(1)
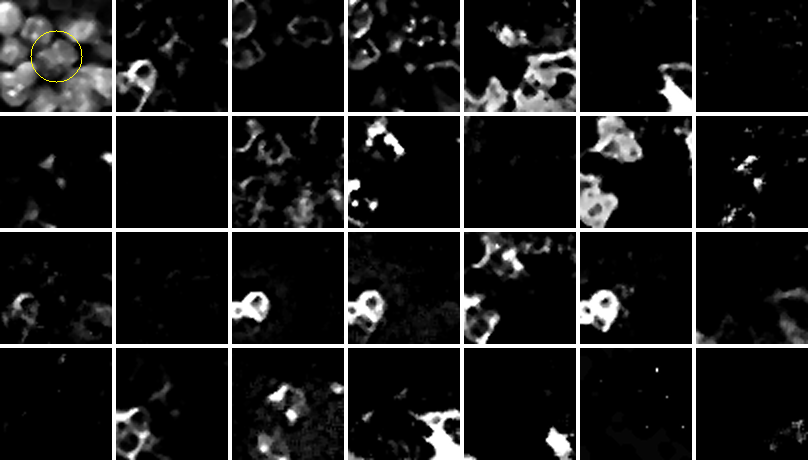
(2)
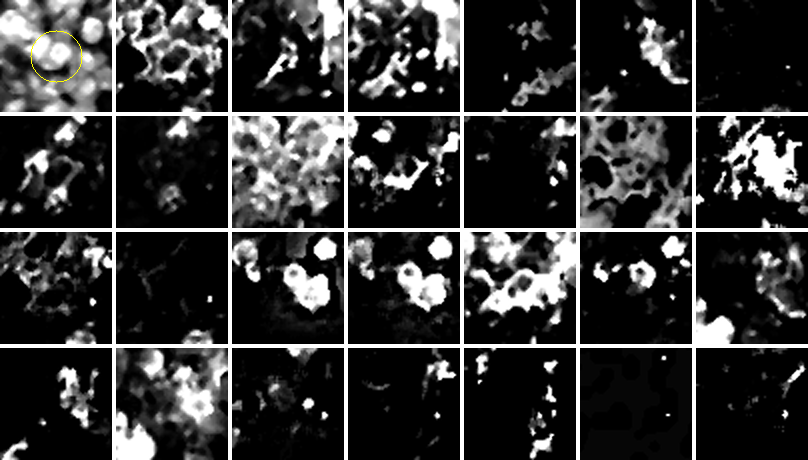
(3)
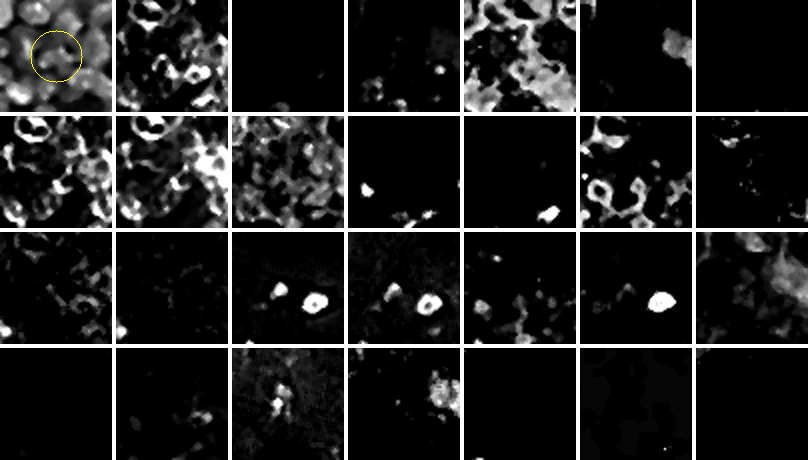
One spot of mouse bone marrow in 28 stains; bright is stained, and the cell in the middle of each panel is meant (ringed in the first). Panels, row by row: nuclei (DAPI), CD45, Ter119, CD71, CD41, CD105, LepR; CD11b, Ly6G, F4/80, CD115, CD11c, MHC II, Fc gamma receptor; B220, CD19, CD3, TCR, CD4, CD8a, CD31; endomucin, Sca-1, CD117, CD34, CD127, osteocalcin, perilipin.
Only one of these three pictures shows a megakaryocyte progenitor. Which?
Picture 3.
